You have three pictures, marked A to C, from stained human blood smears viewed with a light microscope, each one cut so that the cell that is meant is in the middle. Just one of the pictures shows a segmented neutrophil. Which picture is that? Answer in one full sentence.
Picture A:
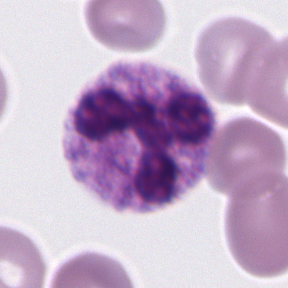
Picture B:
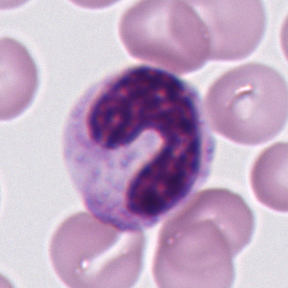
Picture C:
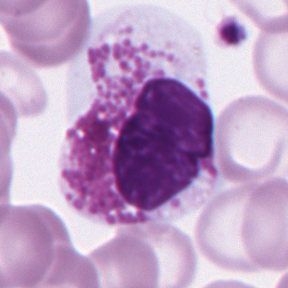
The cell in picture A is the segmented neutrophil.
